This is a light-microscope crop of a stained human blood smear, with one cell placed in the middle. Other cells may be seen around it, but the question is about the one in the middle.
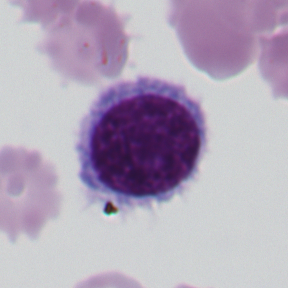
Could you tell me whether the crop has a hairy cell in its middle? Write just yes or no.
yes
